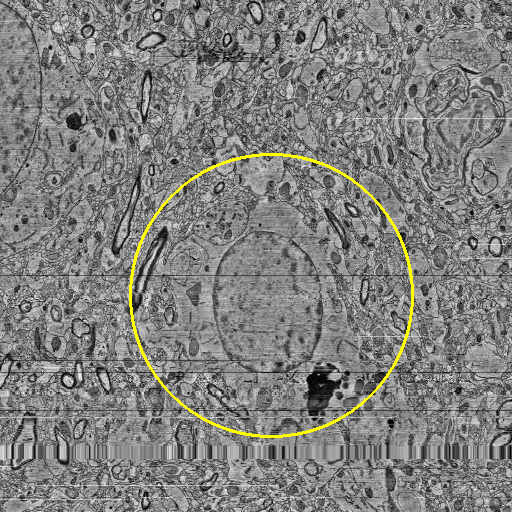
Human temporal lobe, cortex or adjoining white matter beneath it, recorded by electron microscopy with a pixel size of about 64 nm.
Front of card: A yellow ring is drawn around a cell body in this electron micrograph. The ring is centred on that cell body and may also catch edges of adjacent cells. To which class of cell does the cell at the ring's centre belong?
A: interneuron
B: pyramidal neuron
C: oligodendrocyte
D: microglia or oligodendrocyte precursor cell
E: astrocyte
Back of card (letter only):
E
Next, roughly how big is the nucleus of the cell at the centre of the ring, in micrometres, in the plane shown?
Approximately 9 x 7 micrometres in this plane.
